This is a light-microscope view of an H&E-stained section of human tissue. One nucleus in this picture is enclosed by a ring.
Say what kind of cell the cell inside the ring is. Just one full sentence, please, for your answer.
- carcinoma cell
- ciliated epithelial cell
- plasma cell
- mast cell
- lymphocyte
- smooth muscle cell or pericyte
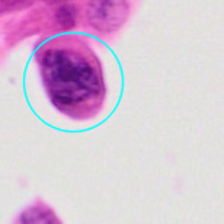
It is as a carcinoma cell that the cell inside the ring is recorded.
